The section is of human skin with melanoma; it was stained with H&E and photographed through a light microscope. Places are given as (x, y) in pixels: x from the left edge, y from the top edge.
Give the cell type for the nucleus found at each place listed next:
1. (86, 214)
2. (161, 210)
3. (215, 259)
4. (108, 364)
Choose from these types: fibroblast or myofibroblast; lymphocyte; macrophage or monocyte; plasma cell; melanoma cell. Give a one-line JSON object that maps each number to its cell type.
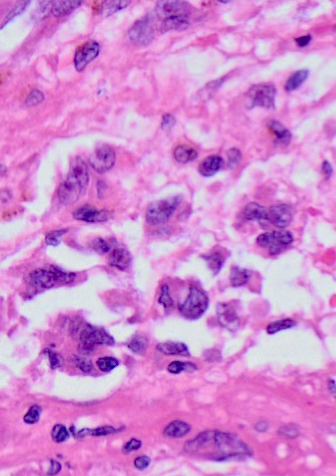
{"1": "macrophage or monocyte", "2": "melanoma cell", "3": "melanoma cell", "4": "lymphocyte"}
